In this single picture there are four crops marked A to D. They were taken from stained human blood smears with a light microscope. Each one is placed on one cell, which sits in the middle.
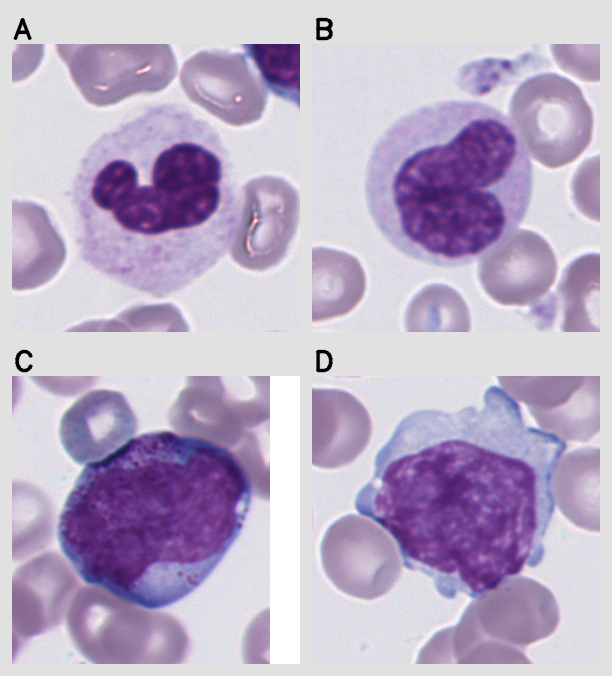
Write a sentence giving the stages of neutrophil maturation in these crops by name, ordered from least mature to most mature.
What results from ordering by maturity, least to most, is crop D (a myeloblast), crop C (a promyelocyte), crop B (a band neutrophil) and crop A (a segmented neutrophil).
